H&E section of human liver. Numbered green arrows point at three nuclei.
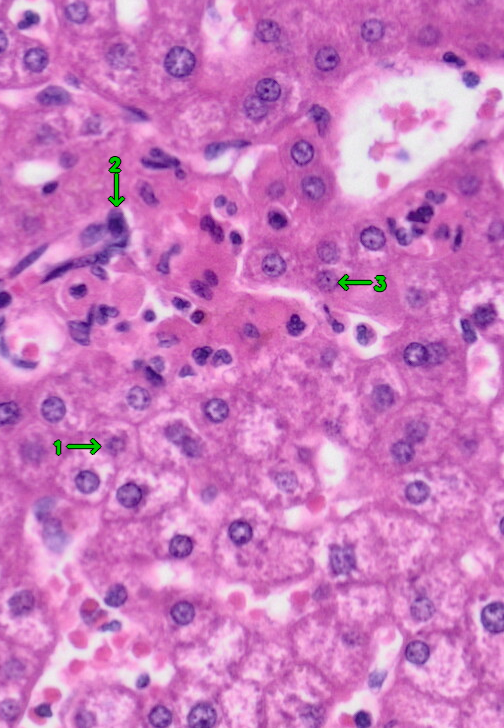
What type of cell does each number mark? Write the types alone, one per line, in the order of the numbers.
hepatocyte
fibroblast or stellate cell
hepatocyte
